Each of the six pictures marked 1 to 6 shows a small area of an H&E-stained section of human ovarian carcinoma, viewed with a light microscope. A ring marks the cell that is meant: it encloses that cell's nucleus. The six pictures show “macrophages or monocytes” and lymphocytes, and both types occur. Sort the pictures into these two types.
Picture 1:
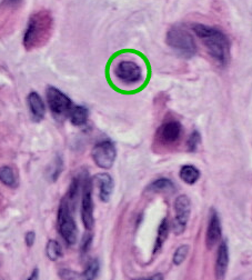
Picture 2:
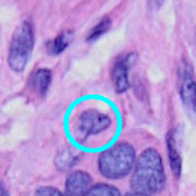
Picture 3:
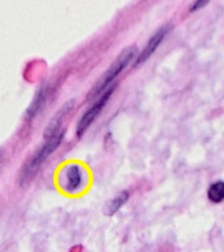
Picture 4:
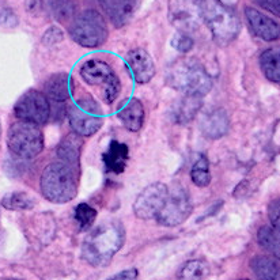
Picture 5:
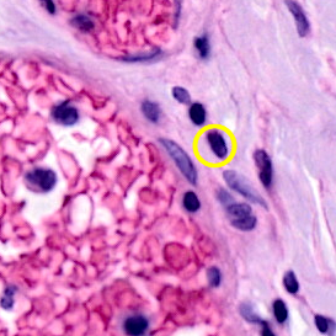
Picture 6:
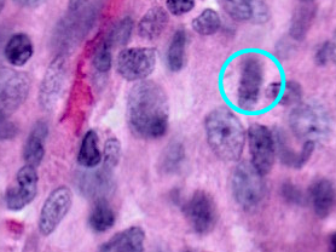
1: lymphocyte
2: macrophage or monocyte
3: lymphocyte
4: macrophage or monocyte
5: lymphocyte
6: macrophage or monocyte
